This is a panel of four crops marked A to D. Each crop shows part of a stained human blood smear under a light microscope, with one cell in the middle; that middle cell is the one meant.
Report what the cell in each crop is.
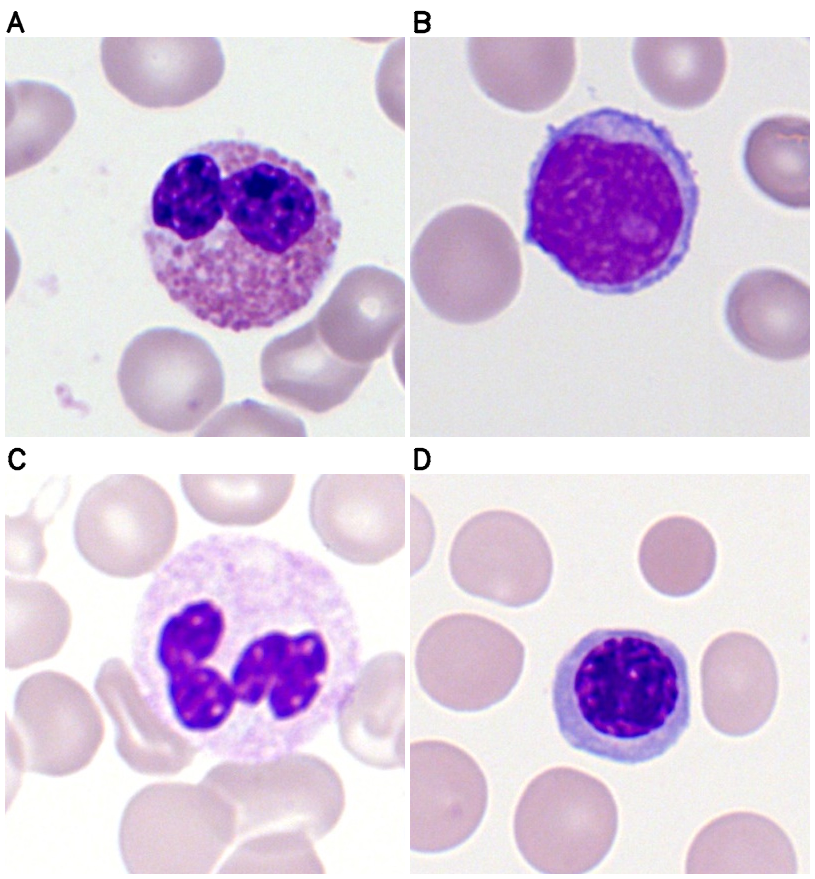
A: eosinophil
B: myeloblast
C: segmented neutrophil
D: erythroblast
